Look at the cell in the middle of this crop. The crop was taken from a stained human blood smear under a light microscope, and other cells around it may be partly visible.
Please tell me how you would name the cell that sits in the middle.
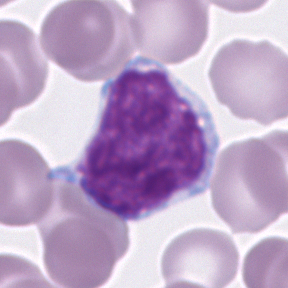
typical lymphocyte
